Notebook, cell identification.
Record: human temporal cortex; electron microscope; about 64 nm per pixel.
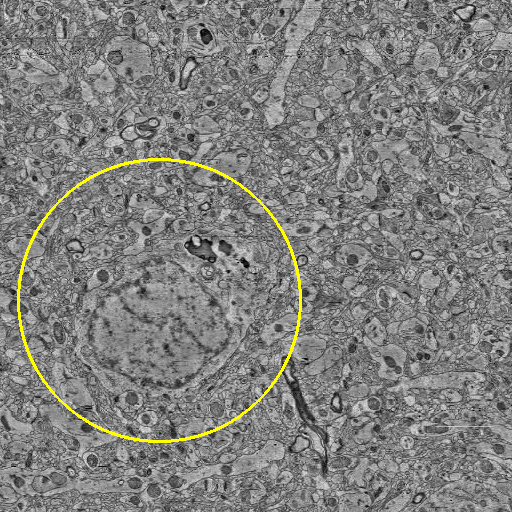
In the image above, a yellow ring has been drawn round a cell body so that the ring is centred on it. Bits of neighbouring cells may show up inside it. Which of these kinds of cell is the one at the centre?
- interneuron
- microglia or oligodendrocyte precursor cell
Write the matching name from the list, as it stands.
interneuron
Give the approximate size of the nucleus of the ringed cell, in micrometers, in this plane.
Roughly 9 micrometers across in this plane.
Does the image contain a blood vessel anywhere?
No, none is visible.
